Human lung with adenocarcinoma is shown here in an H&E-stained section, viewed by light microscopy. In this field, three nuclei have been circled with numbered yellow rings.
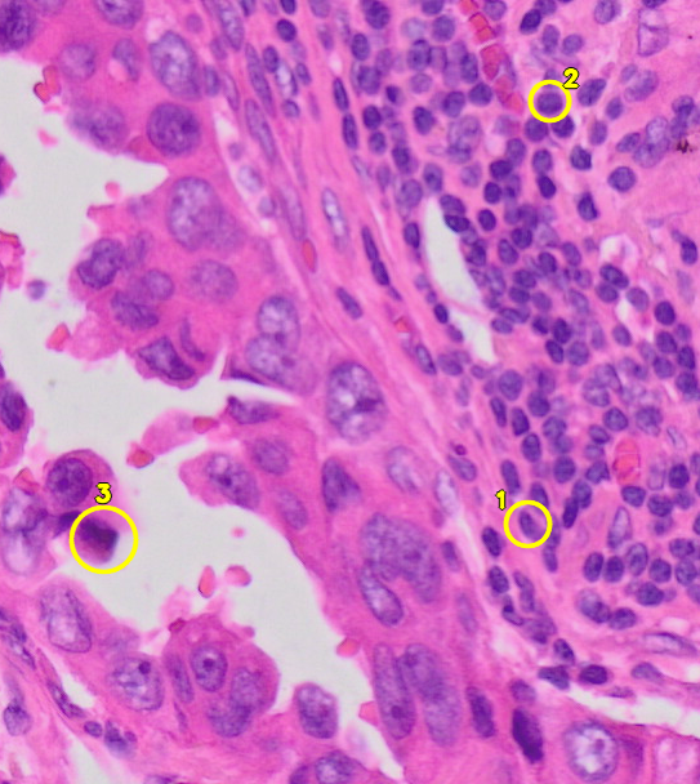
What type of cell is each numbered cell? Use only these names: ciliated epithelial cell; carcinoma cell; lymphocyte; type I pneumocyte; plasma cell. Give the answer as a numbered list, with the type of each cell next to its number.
1. lymphocyte
2. lymphocyte
3. carcinoma cell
